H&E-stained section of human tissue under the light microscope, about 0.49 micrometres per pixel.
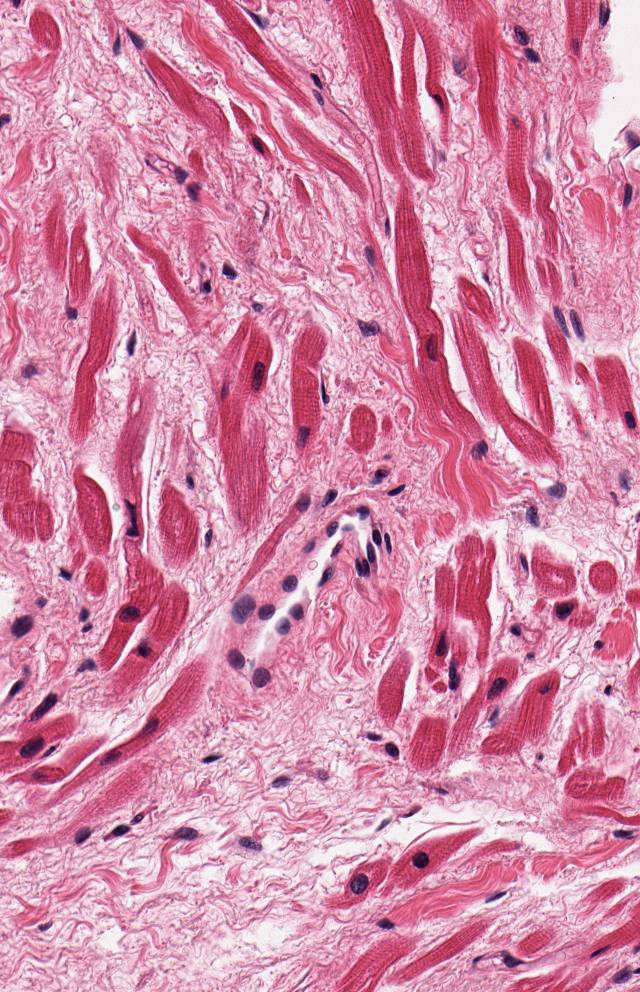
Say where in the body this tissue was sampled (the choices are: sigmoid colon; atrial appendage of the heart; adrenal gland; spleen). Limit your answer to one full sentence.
This section of tissue was taken from the atrial appendage of the heart.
